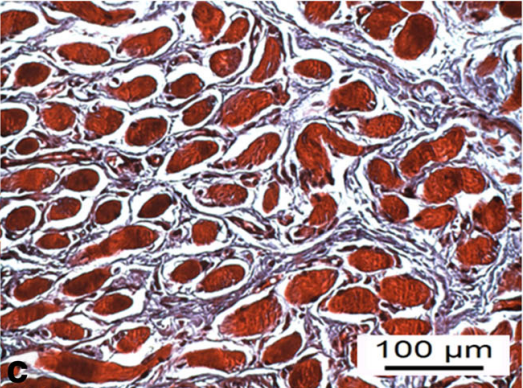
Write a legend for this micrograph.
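Skeletal muscle fibers are seen cut mostly in cross-section, stained deep red, with rounded to oval outlines of varying size. Between the fibers runs a web of pale bluish-grey fibrous strands that wraps each fiber and separates it from its neighbours. The amount of this interstitial connective tissue is large relative to the muscle, pointing to fibrosis of the muscle.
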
